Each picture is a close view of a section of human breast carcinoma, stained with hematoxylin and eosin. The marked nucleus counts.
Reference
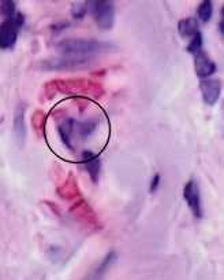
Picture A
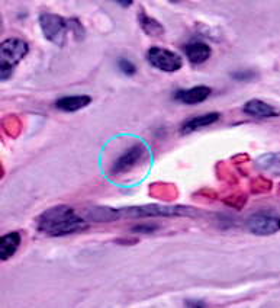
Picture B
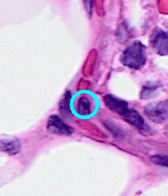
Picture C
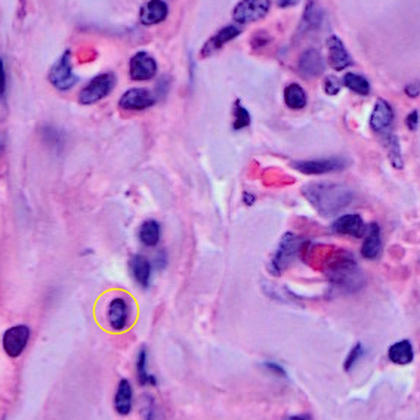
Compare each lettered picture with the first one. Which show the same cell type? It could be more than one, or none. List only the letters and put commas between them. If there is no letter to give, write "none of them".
A, B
